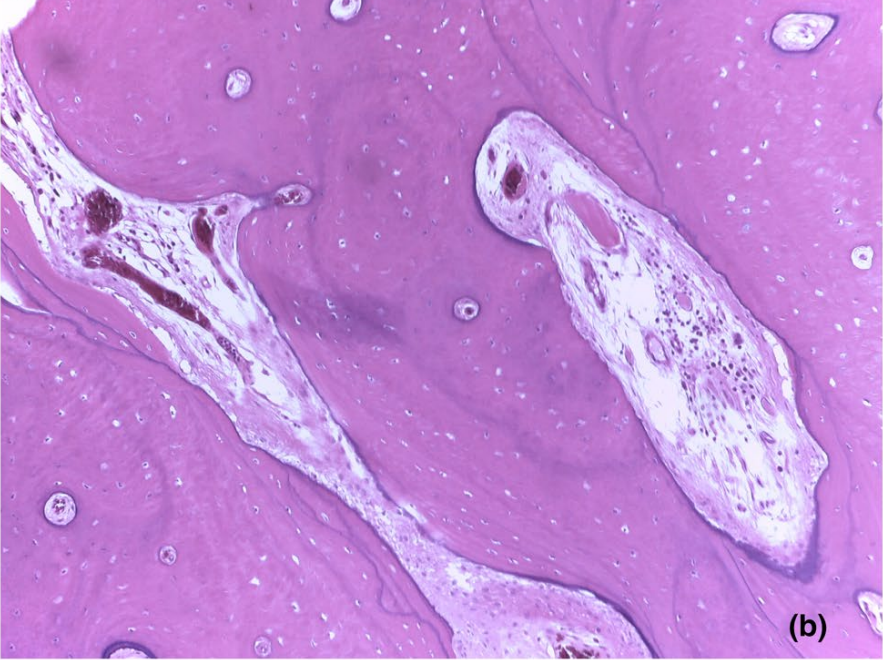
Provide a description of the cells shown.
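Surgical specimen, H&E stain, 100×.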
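Broad areas of pink lamellar bone are crossed by elongated spaces filled with fibrovascular tissue. The bone matrix holds many small lacunae and shows faint cement lines. Within the spaces, loose pale fibrous tissue carries scattered spindle and round nuclei, together with blood vessels packed with dark red cells. The bone surfaces bordering these spaces are smooth, and no large multinucleated cells are seen on them.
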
